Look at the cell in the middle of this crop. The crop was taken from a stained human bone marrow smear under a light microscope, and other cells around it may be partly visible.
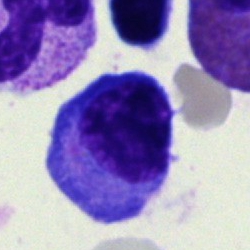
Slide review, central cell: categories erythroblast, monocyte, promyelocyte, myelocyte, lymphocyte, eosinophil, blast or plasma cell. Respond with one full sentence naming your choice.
In the centre of this crop there is a plasma cell.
